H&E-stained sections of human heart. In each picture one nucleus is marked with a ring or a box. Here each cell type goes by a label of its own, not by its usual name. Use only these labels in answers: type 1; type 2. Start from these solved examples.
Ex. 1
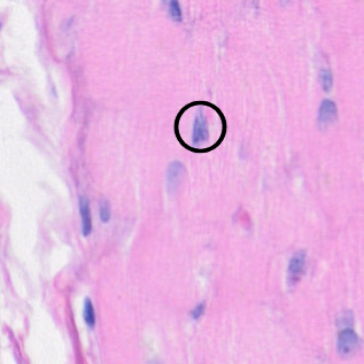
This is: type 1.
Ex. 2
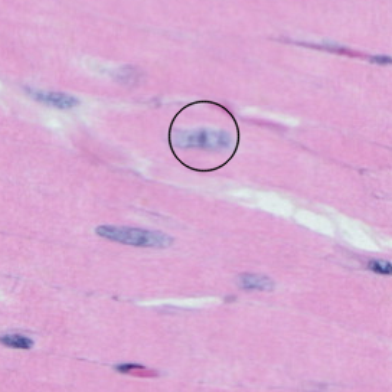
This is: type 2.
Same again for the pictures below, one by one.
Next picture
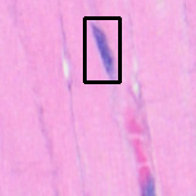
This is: type 1.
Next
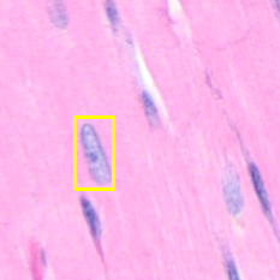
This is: type 2.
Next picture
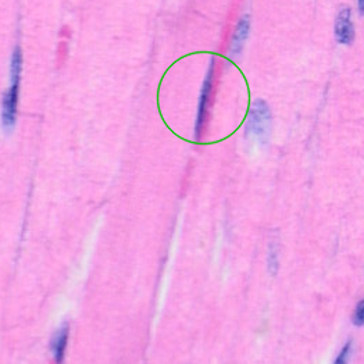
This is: type 1.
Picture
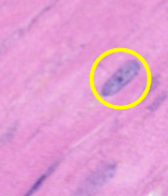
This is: type 2.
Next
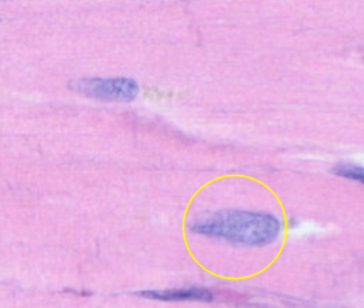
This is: type 2.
